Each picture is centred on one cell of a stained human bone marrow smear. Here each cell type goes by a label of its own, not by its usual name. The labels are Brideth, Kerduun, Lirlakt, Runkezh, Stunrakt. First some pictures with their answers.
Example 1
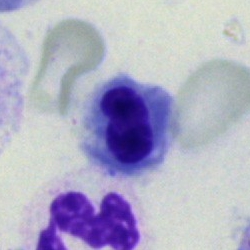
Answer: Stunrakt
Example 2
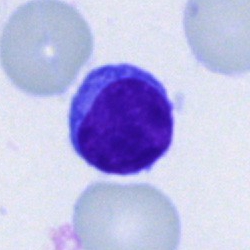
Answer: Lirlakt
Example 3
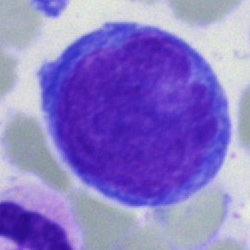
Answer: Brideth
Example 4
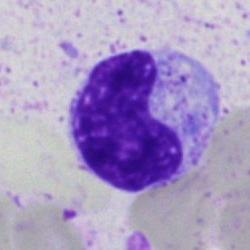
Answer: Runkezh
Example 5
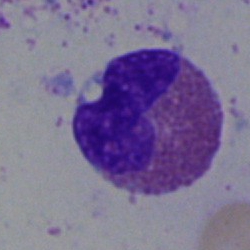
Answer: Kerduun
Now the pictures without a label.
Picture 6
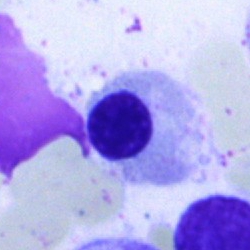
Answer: Stunrakt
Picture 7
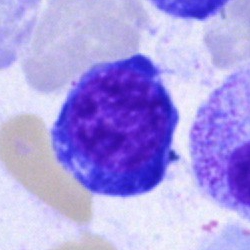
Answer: Stunrakt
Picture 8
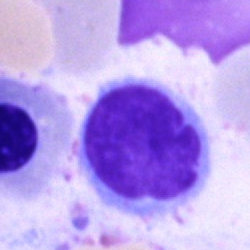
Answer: Lirlakt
